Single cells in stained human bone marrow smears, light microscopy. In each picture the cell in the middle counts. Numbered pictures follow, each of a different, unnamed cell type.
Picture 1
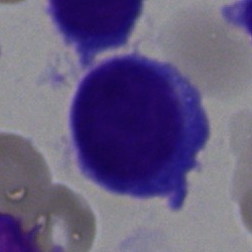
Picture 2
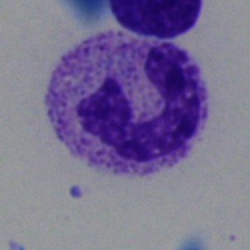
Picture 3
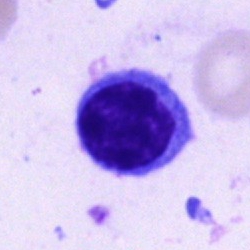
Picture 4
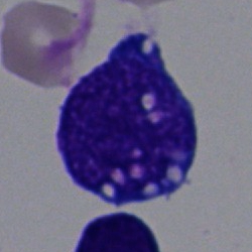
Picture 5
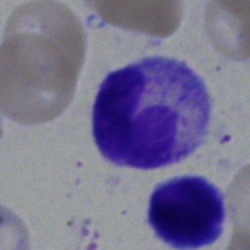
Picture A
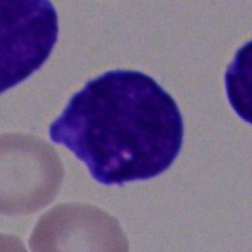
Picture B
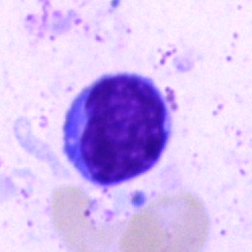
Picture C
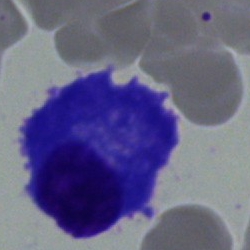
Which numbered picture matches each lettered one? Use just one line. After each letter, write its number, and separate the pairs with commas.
A 4, B 3, C 1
